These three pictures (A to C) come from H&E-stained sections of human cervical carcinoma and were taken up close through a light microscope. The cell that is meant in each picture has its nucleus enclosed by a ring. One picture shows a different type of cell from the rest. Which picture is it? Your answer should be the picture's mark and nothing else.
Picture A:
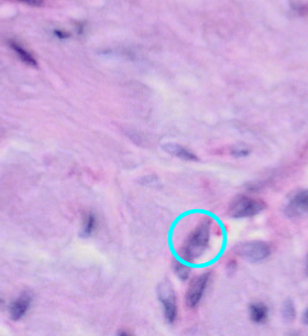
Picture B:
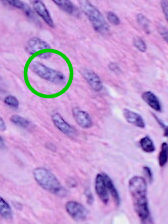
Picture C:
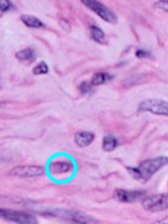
A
